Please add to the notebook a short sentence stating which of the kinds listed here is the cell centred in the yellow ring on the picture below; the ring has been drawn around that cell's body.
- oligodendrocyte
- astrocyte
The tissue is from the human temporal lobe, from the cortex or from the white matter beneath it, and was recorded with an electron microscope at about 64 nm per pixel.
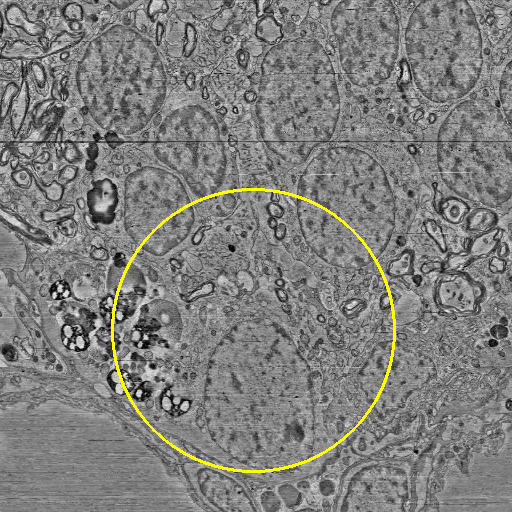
The cell centred in the yellow ring is an astrocyte.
